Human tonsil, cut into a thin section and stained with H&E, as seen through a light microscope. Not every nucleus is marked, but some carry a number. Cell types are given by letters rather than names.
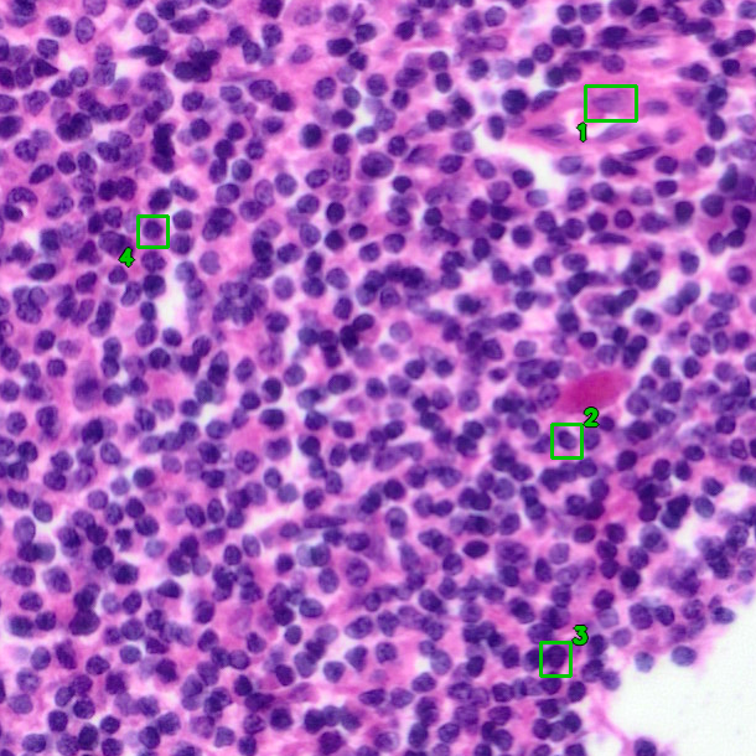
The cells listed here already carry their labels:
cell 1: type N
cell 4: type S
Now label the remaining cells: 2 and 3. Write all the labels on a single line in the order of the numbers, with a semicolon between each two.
type S; type S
